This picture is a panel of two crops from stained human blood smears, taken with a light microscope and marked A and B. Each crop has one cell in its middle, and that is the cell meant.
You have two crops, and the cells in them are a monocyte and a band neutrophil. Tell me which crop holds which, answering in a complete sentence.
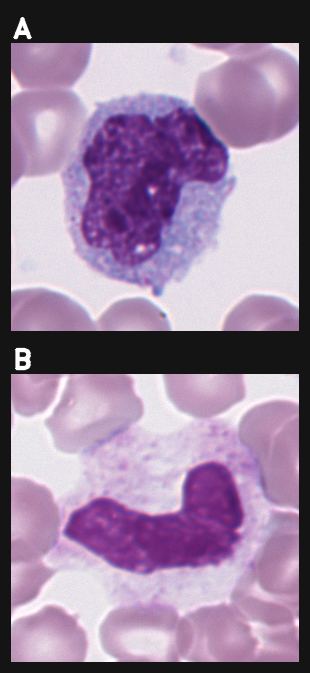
Crop A has been identified as a monocyte, and crop B has been identified as a band neutrophil.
